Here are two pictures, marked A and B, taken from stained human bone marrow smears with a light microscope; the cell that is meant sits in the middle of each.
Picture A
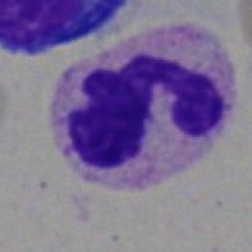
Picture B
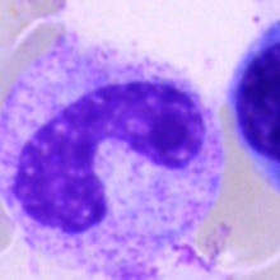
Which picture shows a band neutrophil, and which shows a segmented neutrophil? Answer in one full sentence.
Picture A is of a segmented neutrophil, and picture B is of a band neutrophil.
